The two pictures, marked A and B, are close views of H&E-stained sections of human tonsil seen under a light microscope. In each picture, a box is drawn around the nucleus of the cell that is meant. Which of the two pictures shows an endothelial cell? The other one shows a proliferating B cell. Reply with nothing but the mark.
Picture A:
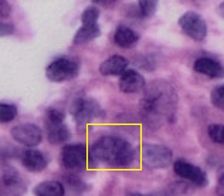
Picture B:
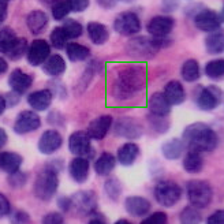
B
